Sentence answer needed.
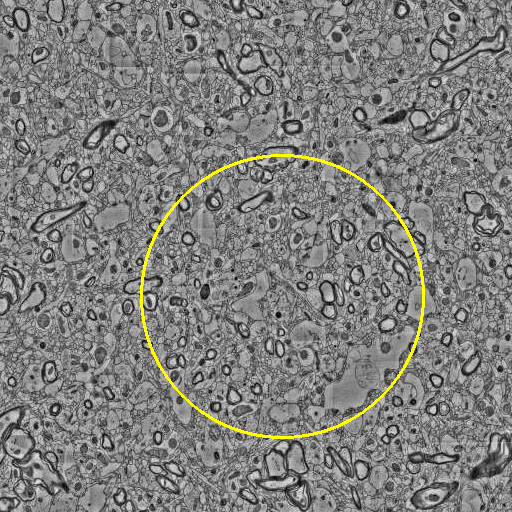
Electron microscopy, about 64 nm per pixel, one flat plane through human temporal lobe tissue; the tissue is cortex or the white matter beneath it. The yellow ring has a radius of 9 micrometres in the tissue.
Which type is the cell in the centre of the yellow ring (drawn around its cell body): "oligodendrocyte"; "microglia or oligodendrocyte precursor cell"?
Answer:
In the centre of the yellow ring is a microglial cell or oligodendrocyte precursor cell.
